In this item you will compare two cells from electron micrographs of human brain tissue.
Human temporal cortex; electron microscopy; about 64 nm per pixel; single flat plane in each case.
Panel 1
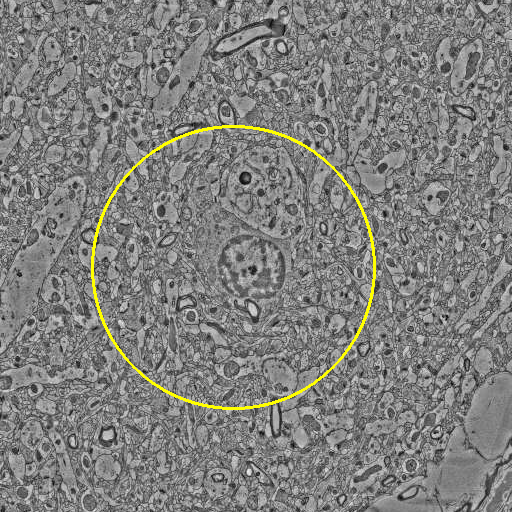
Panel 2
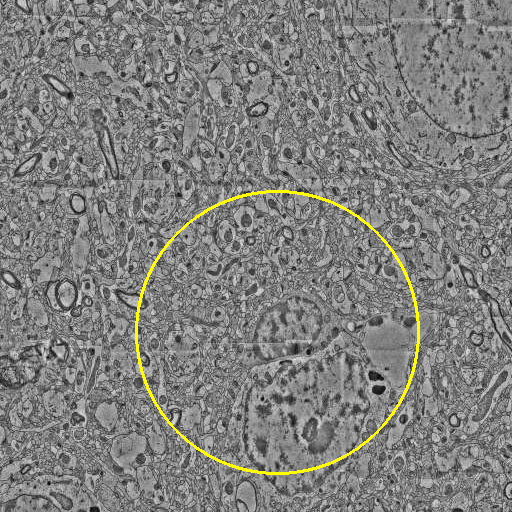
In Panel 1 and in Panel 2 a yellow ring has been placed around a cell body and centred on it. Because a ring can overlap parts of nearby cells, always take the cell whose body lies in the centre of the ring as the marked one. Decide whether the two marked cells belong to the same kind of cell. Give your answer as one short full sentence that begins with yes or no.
Yes, the two marked cells belong to the same kind of cell.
